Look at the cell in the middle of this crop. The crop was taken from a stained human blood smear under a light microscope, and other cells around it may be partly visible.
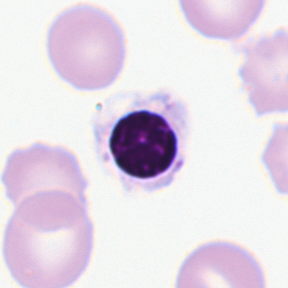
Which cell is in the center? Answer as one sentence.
Here the cell in the middle is a normoblast.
